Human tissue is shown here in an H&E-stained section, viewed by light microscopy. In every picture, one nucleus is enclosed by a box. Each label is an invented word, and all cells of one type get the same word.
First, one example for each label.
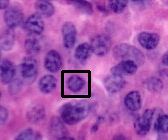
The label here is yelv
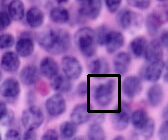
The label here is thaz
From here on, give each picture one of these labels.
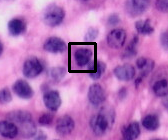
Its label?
yelv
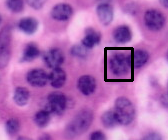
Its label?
yelv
